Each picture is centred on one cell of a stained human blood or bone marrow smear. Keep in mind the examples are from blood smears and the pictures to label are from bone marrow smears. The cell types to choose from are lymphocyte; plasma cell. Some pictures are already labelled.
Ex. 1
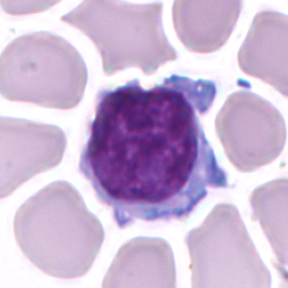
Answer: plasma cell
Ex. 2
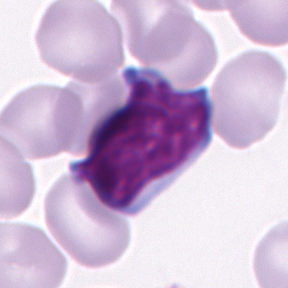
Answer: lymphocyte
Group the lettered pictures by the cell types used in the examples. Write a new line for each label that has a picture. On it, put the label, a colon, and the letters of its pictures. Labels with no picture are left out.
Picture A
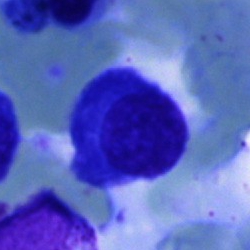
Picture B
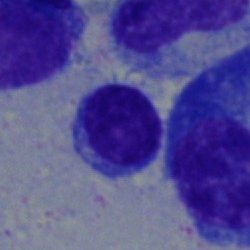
lymphocyte: B
plasma cell: A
